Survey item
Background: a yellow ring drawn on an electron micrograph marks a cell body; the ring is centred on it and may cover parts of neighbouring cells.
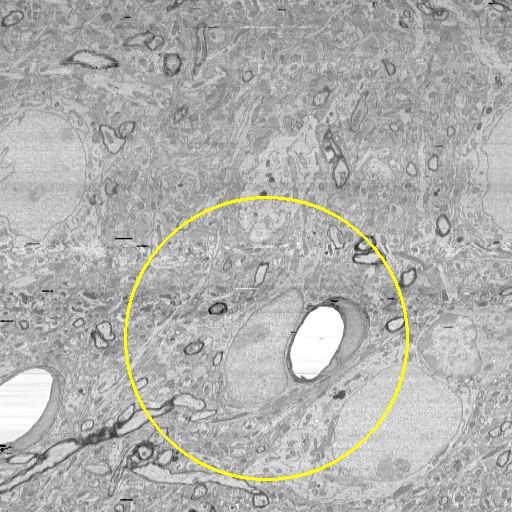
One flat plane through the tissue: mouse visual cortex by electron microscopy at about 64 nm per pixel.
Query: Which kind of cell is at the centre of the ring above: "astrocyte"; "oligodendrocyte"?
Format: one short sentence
The cell in the middle of the ring is an astrocyte.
